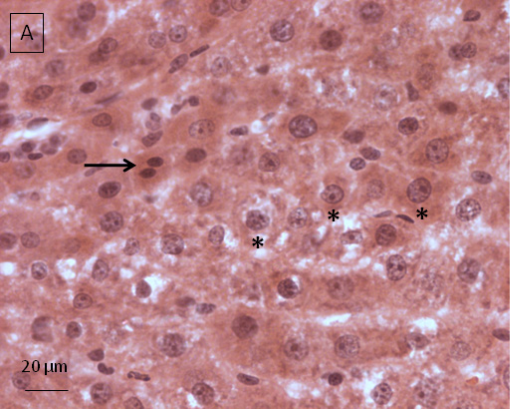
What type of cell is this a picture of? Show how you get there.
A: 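Large polygonal cells with pink granular cytoplasm arranged in cords. Round central nuclei, many with visible nucleoli. Narrow pale spaces between cell cords. The answer: hepatocyte.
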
